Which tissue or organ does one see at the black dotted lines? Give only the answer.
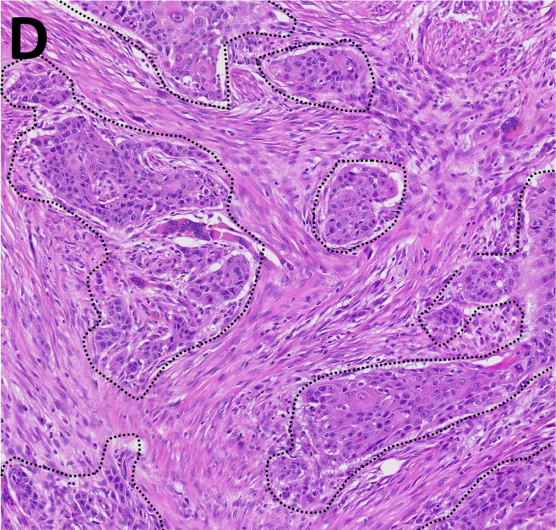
Tumor area.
